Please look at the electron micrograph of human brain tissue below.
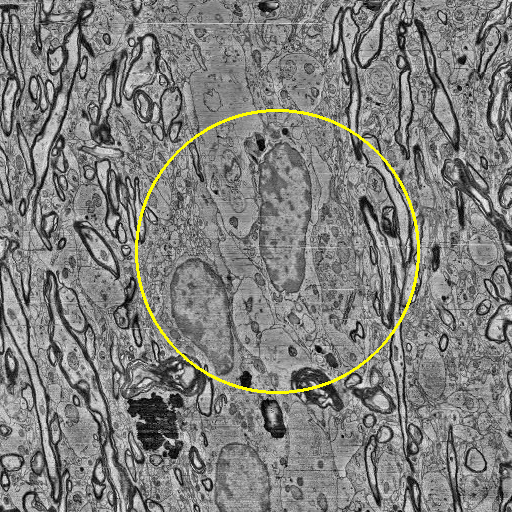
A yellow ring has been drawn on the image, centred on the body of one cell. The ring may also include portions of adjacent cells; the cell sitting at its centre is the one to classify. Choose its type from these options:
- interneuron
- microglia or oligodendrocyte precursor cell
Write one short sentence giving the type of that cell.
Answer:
The cell in the middle of the ring is a microglial cell or oligodendrocyte precursor cell.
